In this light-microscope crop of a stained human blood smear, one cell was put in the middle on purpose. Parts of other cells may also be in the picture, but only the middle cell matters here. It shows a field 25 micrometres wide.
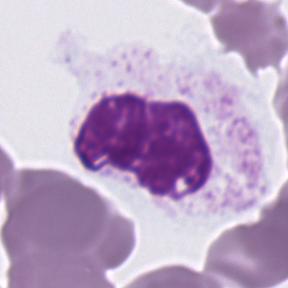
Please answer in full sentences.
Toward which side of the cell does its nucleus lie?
Seen from the middle of the cell, the nucleus lies toward the left.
